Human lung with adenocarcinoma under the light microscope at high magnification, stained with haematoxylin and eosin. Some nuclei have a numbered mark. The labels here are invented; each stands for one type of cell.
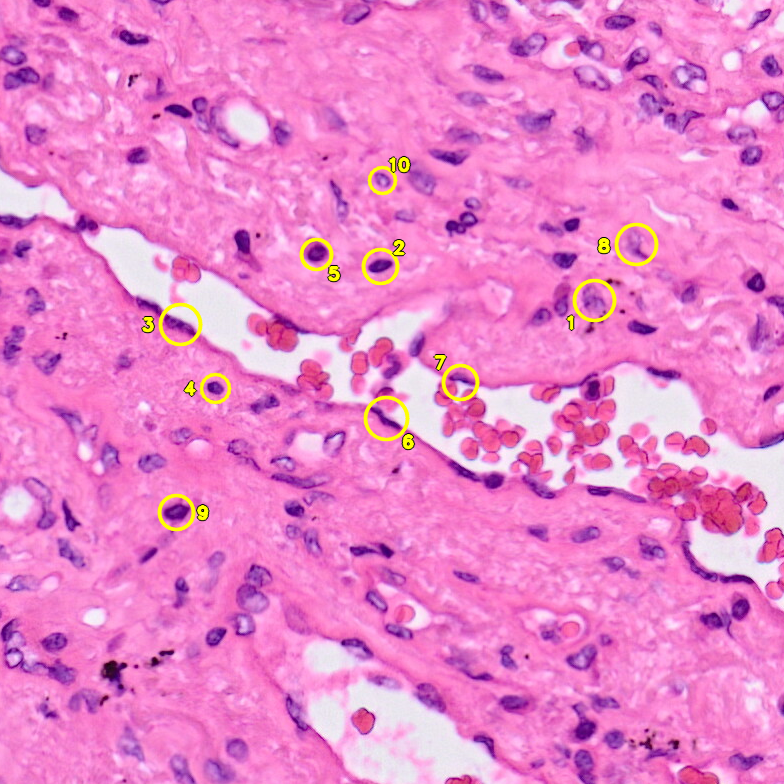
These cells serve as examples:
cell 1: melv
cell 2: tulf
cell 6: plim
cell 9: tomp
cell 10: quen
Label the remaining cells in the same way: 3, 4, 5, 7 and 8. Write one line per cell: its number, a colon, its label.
3: plim
4: tulf
5: tomp
7: plim
8: melv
